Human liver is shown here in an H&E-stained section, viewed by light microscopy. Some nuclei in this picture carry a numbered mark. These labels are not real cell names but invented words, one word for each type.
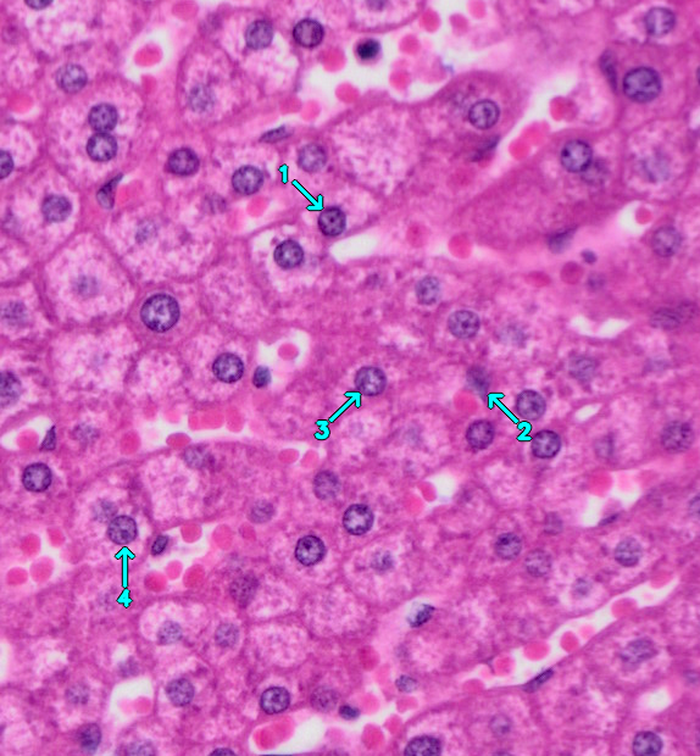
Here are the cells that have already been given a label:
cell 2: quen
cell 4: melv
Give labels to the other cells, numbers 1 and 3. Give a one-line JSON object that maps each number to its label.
{"1": "melv", "3": "melv"}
